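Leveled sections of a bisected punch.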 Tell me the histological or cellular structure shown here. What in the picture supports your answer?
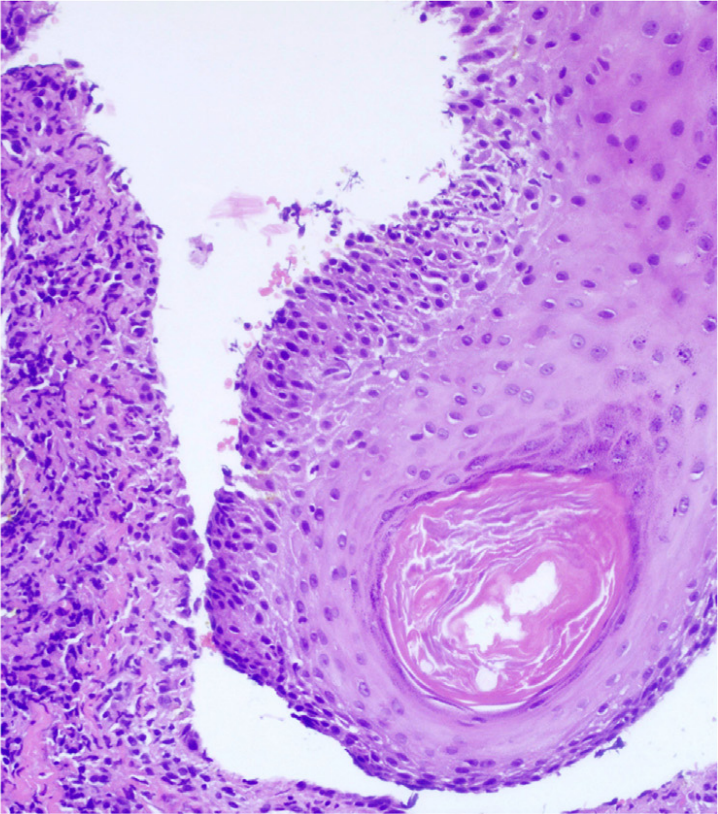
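A rounded mass of squamous epithelium encloses concentric layers of pink keratin. The keratin fills a central lumen lined by stratified squamous cells. On this evidence: follicle.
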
